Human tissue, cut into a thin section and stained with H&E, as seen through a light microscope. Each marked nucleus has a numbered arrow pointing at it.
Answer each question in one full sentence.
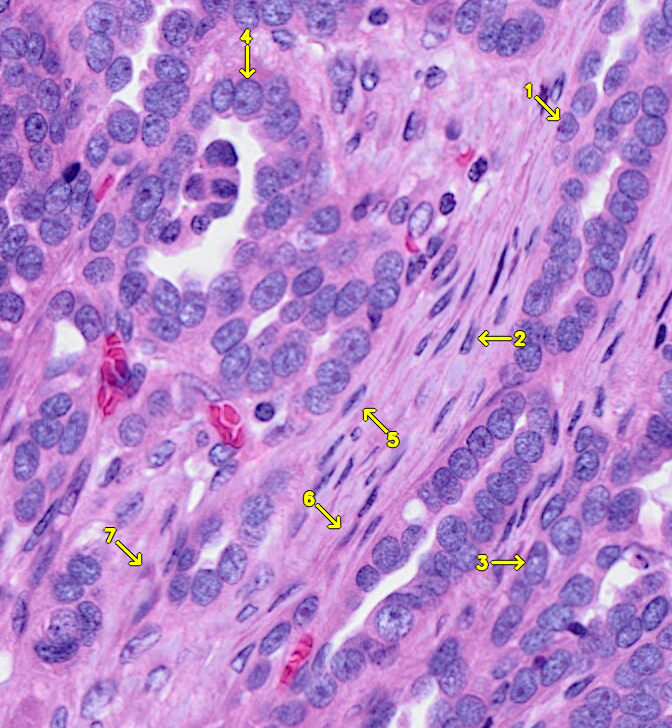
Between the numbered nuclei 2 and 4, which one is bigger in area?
It is nucleus 4, which covers about 2.5 times the area of nucleus 2.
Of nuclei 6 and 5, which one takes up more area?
It is nucleus 5, which covers about 1.5 times the area of nucleus 6.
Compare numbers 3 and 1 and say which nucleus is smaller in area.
Number 1 is smaller, since number 3 takes up about 1.5 times as much area.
